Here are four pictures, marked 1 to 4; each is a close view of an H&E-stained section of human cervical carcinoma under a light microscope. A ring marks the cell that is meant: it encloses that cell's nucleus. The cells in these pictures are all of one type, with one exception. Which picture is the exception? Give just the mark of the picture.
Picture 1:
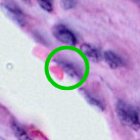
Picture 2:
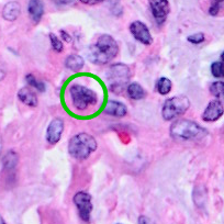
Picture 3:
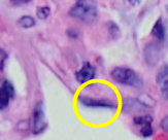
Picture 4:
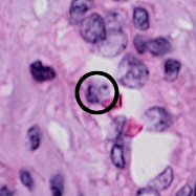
2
